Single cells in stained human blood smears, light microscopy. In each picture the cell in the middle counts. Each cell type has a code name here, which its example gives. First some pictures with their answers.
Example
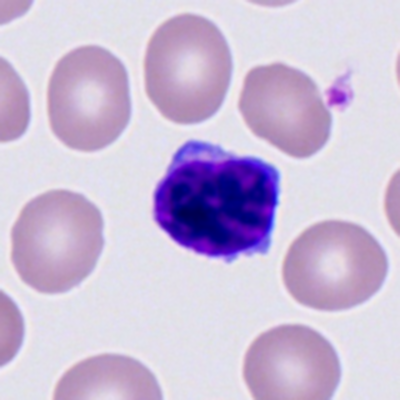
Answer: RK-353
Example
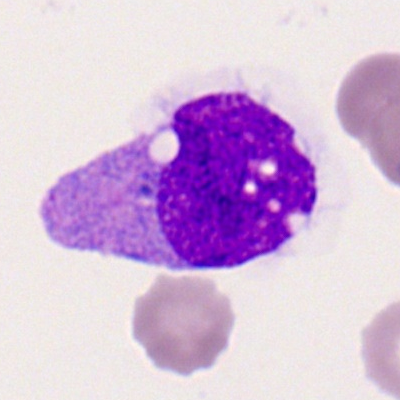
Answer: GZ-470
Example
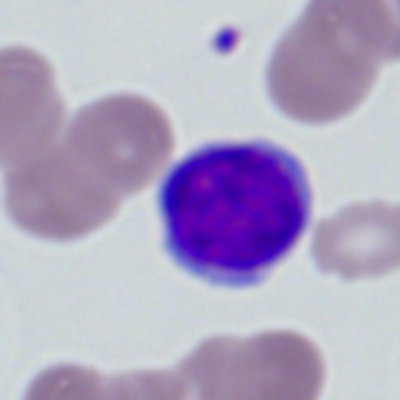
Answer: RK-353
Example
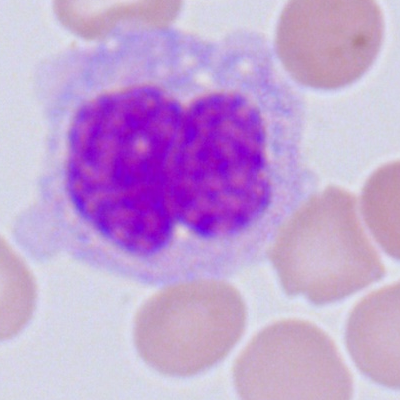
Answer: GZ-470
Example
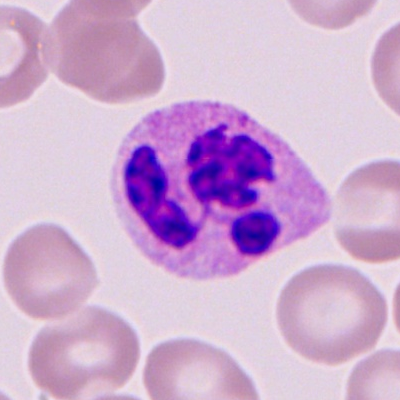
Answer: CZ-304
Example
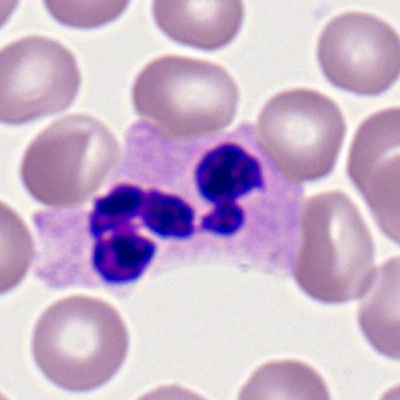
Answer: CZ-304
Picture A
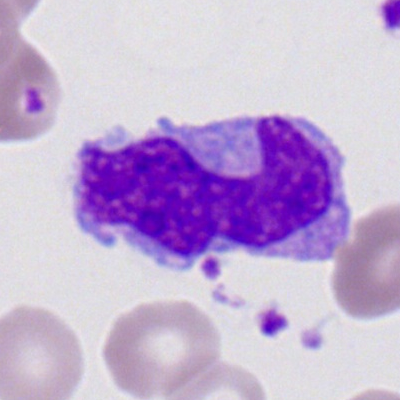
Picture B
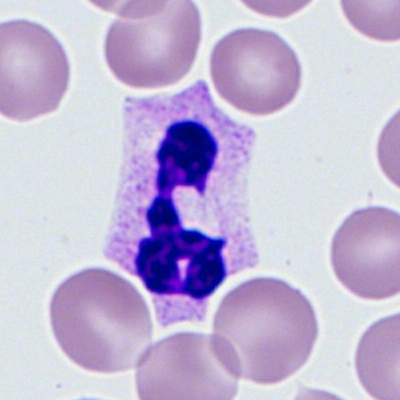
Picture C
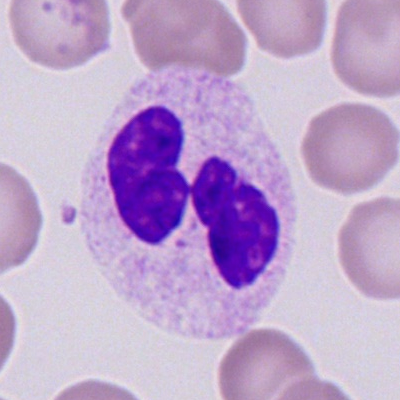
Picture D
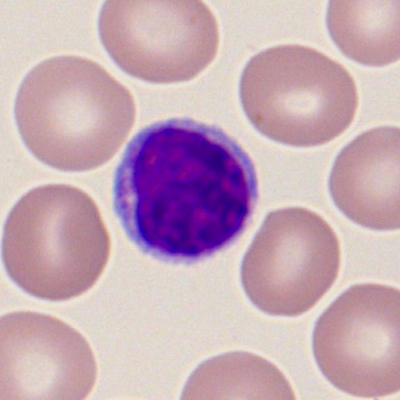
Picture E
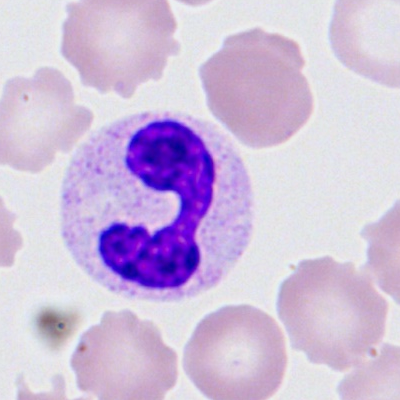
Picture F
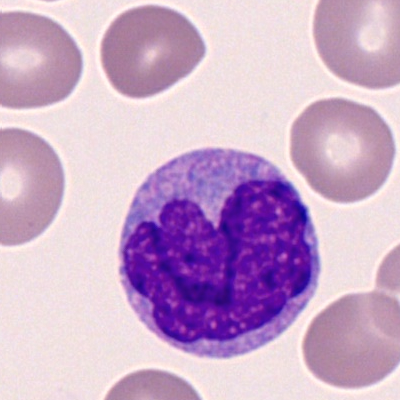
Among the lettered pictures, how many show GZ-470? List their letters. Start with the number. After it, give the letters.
2, namely A, F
